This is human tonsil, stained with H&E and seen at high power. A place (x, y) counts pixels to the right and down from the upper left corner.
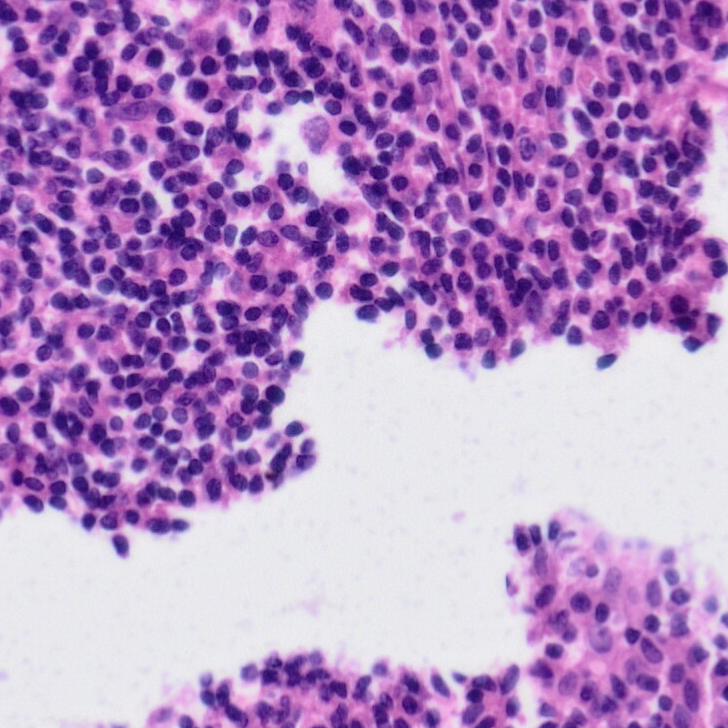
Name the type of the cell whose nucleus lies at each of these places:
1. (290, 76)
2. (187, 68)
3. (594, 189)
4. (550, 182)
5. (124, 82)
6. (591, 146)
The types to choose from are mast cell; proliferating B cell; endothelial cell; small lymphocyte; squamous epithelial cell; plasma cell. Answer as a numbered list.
1. small lymphocyte
2. small lymphocyte
3. plasma cell
4. plasma cell
5. small lymphocyte
6. plasma cell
